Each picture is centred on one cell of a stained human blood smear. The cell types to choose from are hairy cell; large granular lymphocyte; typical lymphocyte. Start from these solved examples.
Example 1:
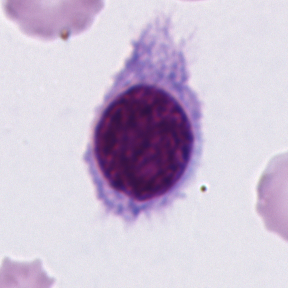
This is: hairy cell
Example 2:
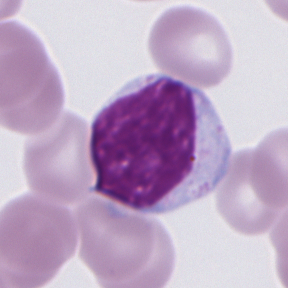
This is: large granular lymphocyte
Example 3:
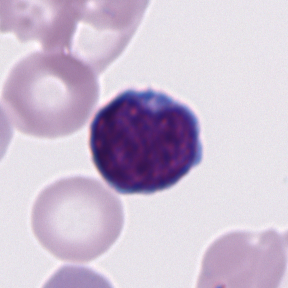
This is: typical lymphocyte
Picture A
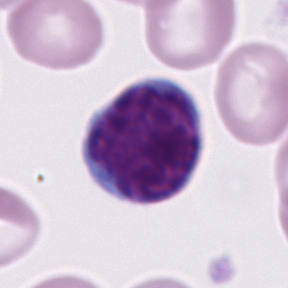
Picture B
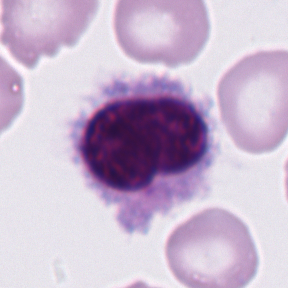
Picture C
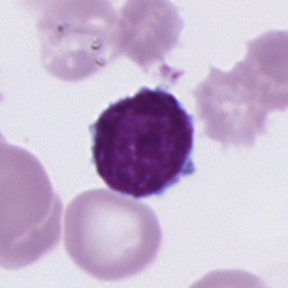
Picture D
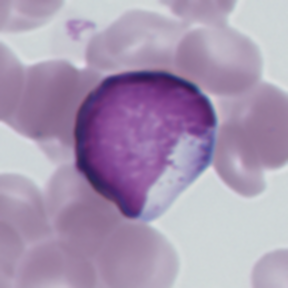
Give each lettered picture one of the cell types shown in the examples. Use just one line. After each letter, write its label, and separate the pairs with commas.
A typical lymphocyte, B hairy cell, C typical lymphocyte, D large granular lymphocyte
